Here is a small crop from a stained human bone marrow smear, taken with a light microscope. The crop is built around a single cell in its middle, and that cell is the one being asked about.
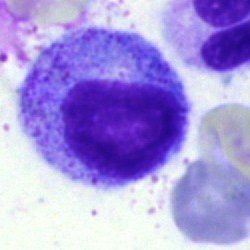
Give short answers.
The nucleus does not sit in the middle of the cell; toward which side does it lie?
lower right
